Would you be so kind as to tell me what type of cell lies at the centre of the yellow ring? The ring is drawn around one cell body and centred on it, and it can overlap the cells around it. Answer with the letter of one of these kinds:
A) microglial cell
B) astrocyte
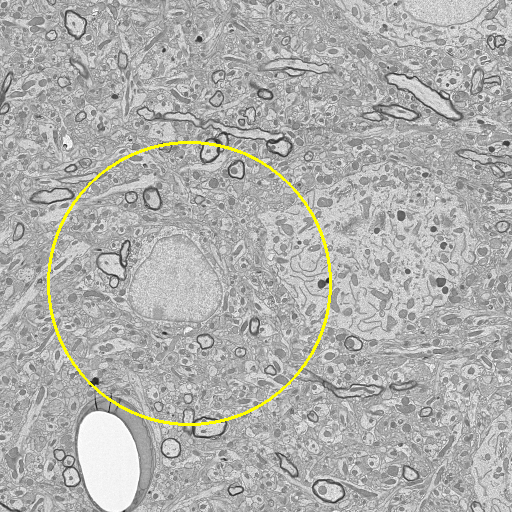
B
